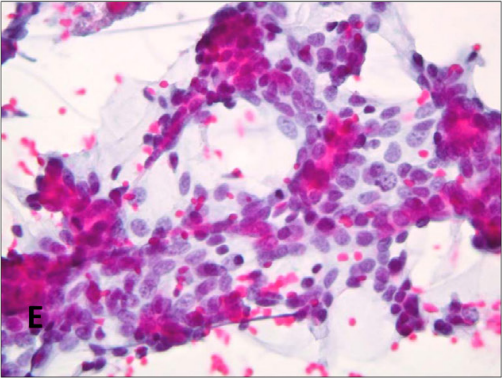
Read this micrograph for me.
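Tumour cells of the same uniform type are spread in sheets and cords in this smear. Their nuclei are oval and fairly regular, and their cytoplasm is scant and pale-staining. Some dark, crowded cell groups and scattered red blood cells lie between them.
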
